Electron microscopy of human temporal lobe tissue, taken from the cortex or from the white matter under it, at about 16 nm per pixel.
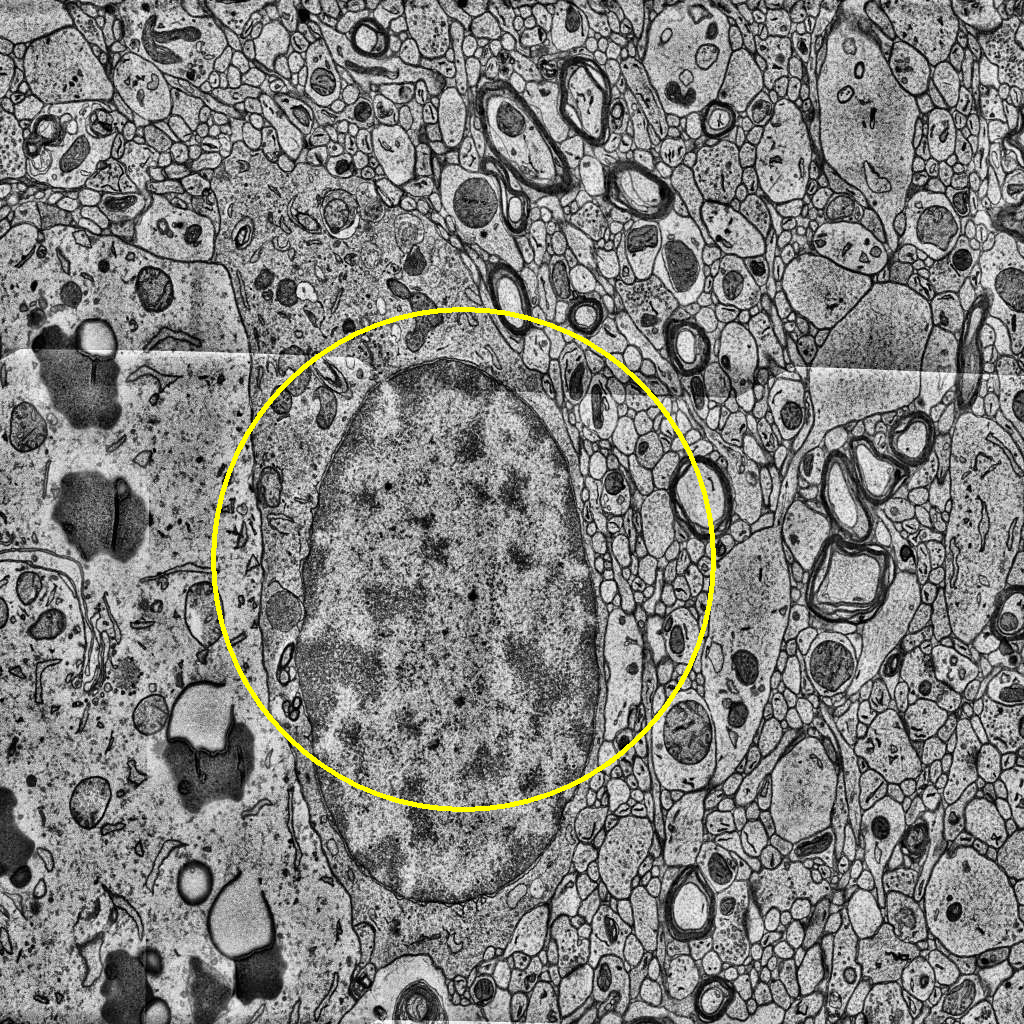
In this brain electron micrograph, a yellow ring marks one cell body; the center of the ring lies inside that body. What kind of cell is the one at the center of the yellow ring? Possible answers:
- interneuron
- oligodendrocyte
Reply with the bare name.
oligodendrocyte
